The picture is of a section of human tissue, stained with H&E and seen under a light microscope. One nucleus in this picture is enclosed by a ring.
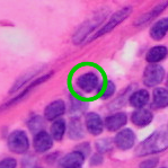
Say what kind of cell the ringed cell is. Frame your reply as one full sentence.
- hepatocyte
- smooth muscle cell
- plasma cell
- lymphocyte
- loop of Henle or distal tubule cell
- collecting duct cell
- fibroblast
Right, so the ringed cell is a lymphocyte, to answer that.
